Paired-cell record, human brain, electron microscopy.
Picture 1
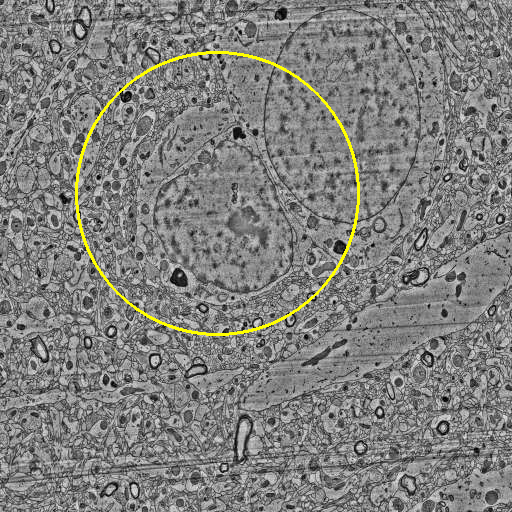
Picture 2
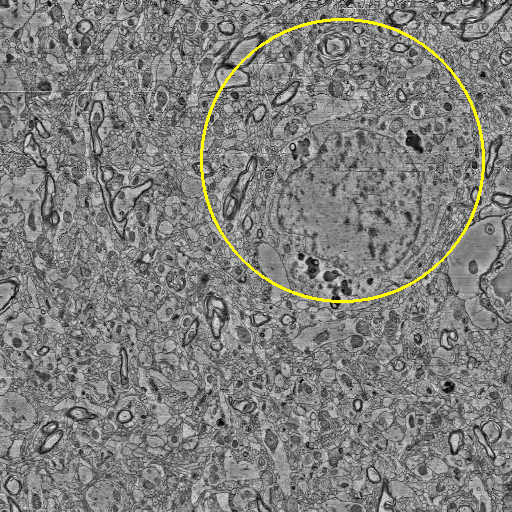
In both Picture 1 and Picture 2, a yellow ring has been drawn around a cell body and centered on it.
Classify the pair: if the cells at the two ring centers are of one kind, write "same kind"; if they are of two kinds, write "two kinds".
same kind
